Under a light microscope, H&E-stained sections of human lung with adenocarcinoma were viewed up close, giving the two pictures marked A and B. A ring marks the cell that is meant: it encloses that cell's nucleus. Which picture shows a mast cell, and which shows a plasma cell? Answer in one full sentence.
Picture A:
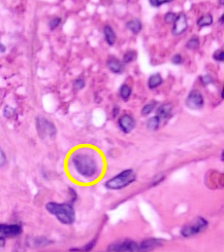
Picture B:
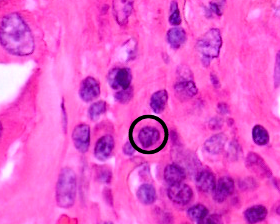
The cell in picture A is a mast cell, and the one in picture B is a plasma cell.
